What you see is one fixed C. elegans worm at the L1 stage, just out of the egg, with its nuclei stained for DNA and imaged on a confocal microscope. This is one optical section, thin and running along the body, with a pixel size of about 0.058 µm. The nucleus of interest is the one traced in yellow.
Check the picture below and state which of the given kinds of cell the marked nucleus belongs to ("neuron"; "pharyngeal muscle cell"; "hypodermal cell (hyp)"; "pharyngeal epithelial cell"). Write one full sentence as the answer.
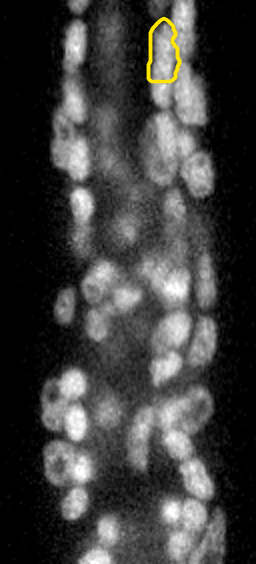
This nucleus is from a pharyngeal muscle cell.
